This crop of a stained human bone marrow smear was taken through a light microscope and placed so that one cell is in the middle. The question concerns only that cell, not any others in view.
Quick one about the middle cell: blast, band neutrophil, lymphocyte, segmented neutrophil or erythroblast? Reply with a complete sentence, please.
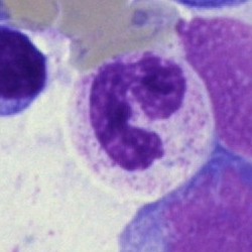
The centrally placed cell is classified as a segmented neutrophil.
